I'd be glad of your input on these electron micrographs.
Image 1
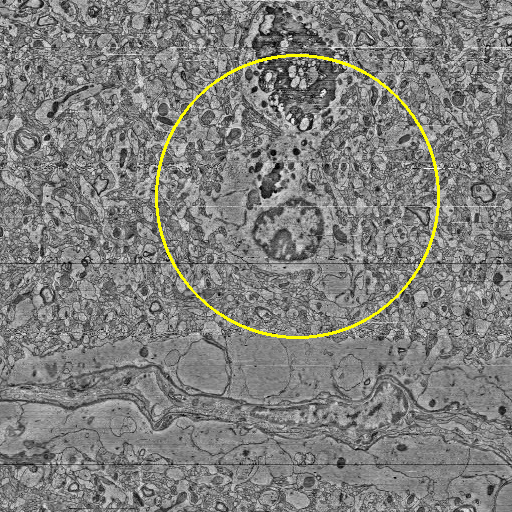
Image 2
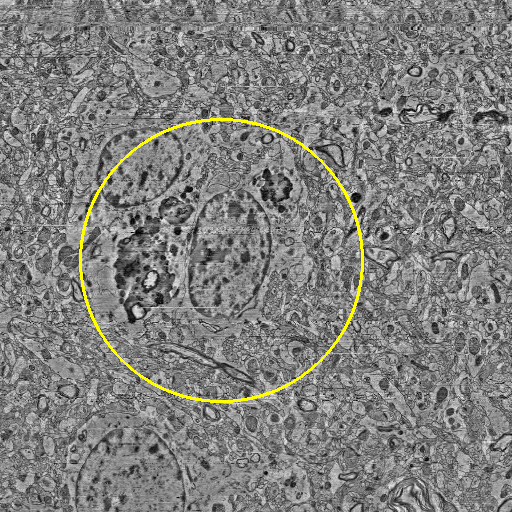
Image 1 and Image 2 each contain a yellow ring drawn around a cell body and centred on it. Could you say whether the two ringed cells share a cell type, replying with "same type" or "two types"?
same type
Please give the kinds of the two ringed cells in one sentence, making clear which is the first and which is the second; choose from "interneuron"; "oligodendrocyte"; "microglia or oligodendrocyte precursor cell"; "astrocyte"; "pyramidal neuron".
Both rings mark an astrocyte, one in each picture.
